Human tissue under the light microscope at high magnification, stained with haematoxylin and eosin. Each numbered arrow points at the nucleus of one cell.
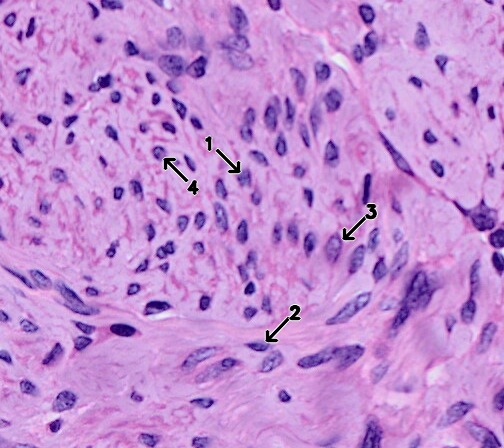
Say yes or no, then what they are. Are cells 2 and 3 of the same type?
No, cell 2 is a fibroblast and cell 3 is a smooth muscle cell.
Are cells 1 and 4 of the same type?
Yes, both are smooth muscle cells.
